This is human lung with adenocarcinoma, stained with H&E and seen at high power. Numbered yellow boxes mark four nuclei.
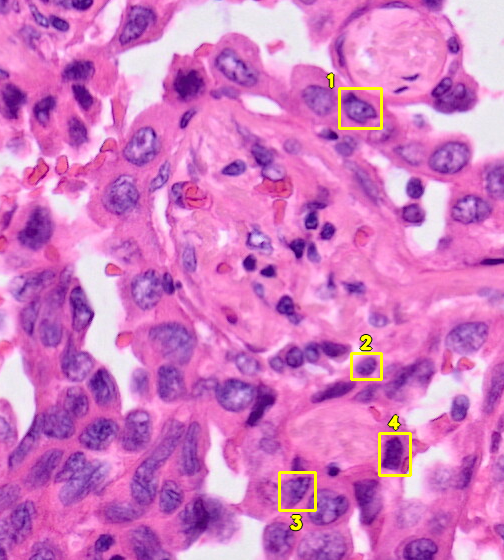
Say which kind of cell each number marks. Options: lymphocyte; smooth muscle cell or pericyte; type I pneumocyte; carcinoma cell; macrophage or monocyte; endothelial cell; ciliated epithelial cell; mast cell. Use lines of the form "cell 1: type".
cell 1: carcinoma cell
cell 2: lymphocyte
cell 3: carcinoma cell
cell 4: carcinoma cell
